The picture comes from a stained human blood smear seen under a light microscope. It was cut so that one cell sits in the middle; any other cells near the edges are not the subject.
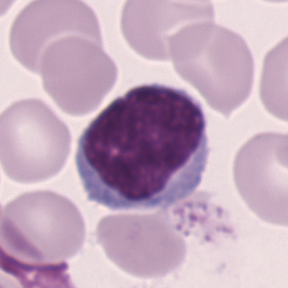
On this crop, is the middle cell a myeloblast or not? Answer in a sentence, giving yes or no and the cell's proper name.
No, the central cell isn't a myeloblast, but a typical lymphocyte.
